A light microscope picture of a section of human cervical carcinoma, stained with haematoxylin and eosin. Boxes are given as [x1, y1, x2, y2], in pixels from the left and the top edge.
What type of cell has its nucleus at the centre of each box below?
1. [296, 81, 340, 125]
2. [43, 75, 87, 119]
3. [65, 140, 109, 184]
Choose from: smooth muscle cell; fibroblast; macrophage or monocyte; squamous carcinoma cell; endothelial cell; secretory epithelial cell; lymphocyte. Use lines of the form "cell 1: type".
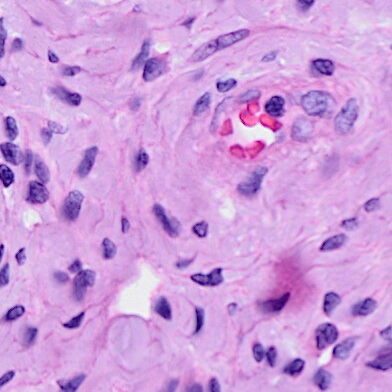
cell 1: endothelial cell
cell 2: fibroblast
cell 3: fibroblast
